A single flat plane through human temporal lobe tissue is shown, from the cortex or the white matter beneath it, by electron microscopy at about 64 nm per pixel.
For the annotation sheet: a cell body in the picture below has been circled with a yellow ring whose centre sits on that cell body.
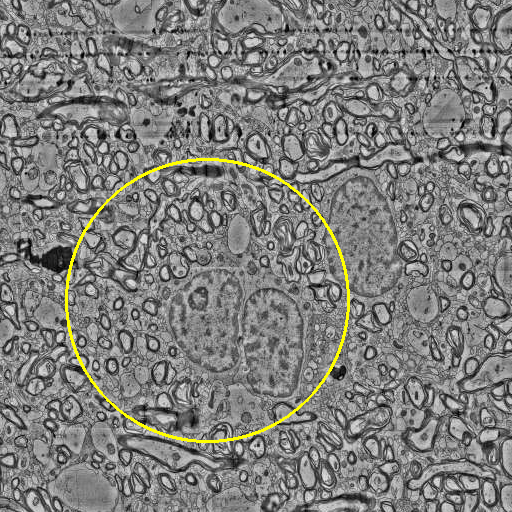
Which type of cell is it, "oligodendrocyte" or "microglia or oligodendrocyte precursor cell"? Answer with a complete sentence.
The circled cell is an oligodendrocyte.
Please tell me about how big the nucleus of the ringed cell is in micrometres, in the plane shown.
In this plane, the nucleus is roughly 7 by 5 micrometres.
